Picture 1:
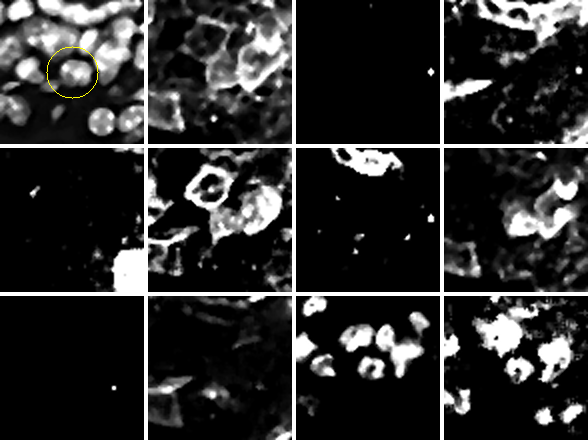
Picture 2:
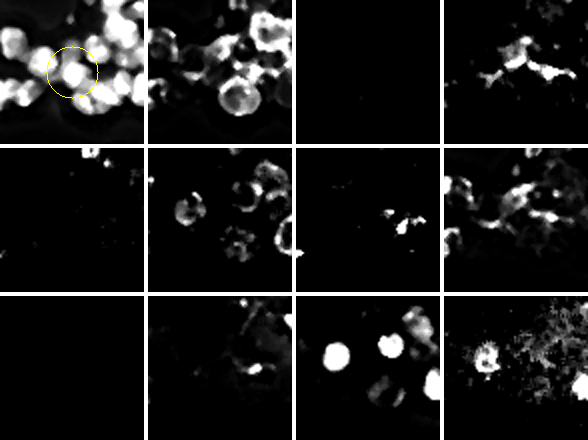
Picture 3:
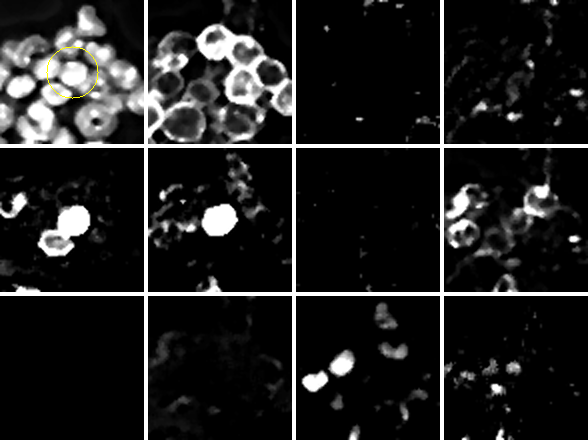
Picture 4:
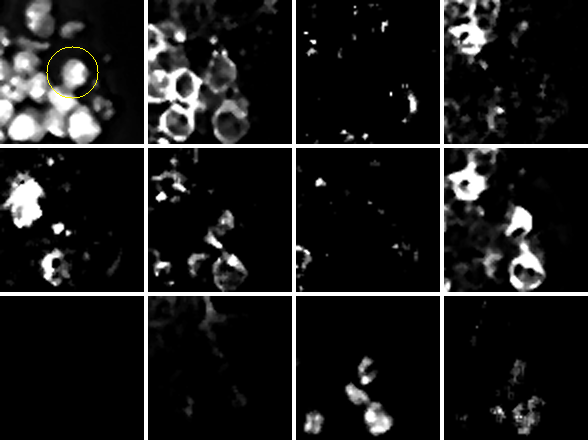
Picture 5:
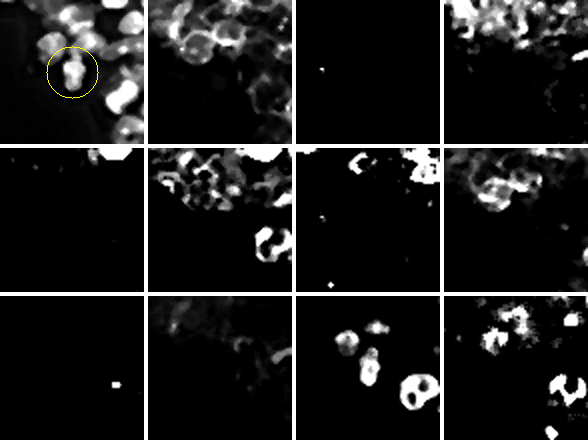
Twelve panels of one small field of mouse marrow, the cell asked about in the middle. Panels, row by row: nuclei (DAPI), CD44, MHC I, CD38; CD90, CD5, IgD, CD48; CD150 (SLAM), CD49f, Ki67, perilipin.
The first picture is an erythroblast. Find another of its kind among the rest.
Picture 5.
